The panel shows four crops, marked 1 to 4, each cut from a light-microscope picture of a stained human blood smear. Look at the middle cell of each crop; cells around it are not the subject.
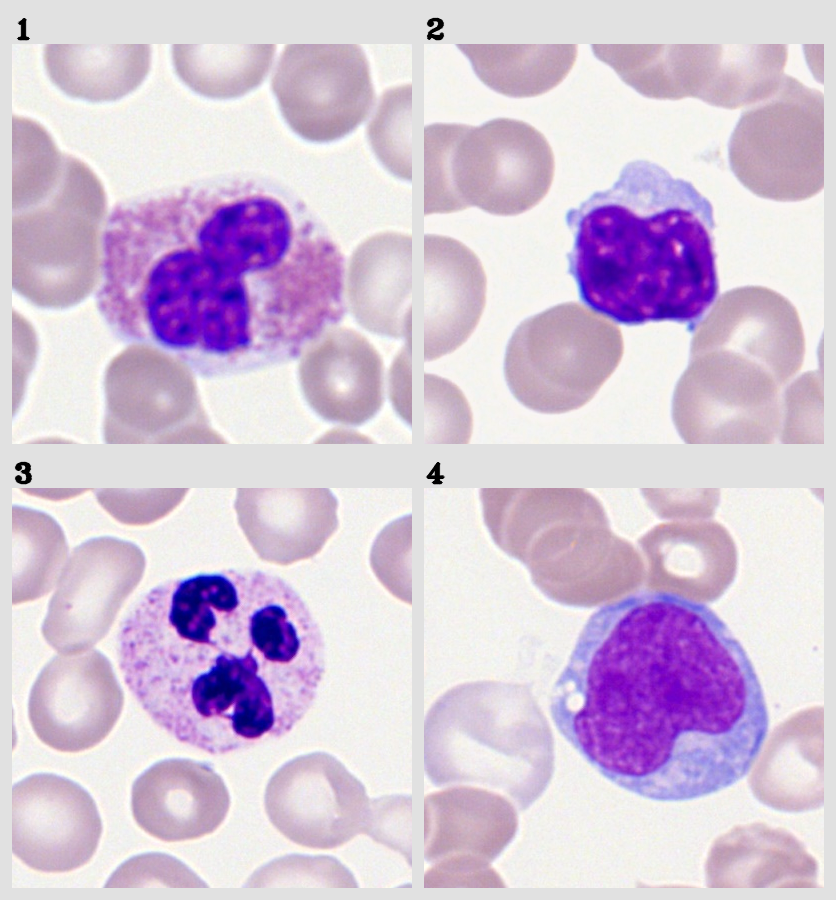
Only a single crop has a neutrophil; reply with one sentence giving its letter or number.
Crop 3 is the one to choose: it shows a neutrophil.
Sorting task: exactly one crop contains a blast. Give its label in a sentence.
So the crop with a blast at its center is crop 4.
